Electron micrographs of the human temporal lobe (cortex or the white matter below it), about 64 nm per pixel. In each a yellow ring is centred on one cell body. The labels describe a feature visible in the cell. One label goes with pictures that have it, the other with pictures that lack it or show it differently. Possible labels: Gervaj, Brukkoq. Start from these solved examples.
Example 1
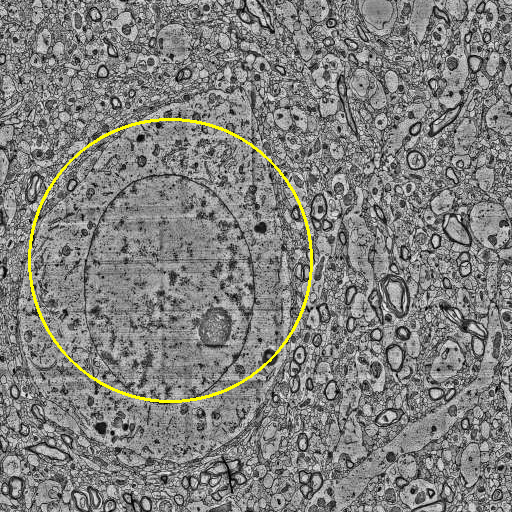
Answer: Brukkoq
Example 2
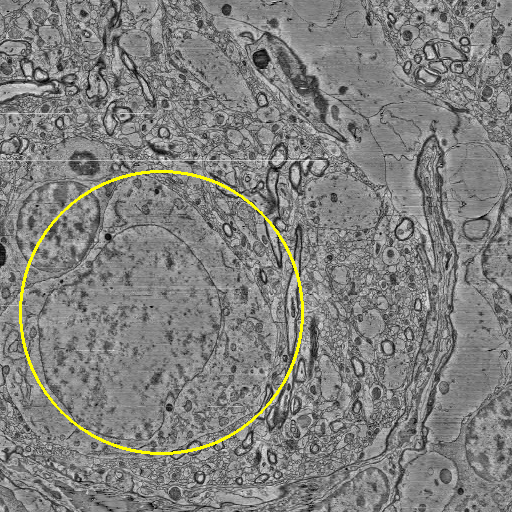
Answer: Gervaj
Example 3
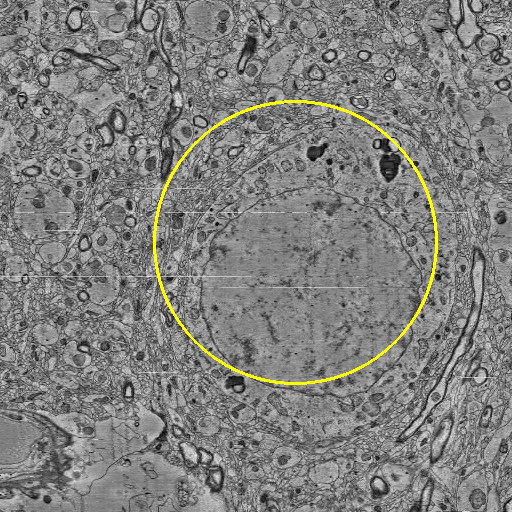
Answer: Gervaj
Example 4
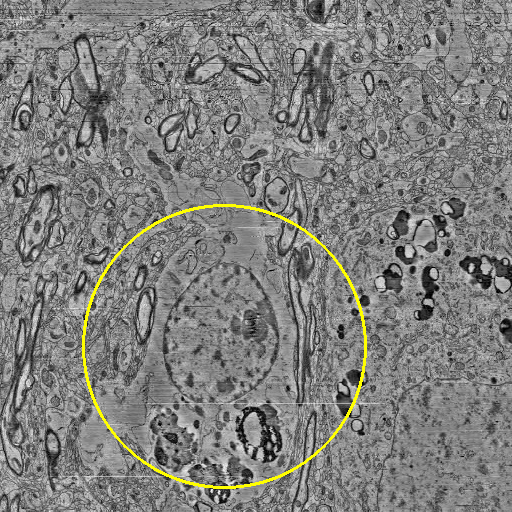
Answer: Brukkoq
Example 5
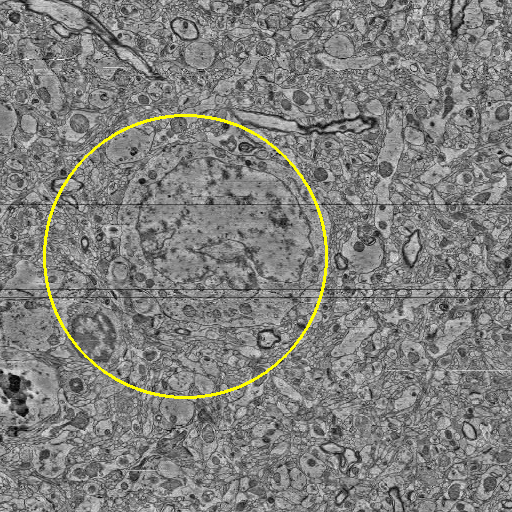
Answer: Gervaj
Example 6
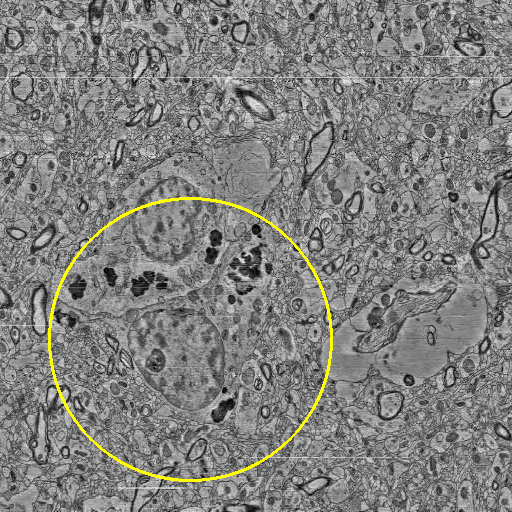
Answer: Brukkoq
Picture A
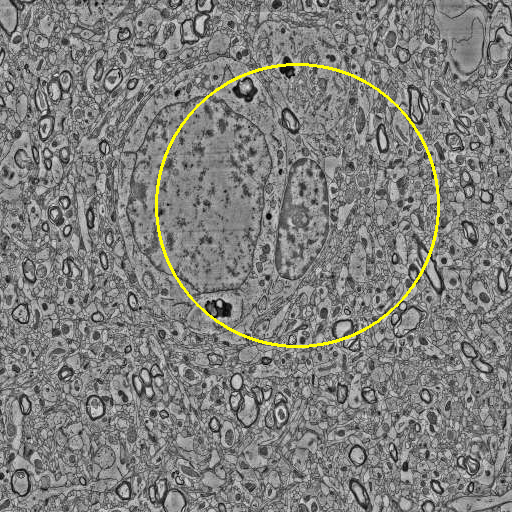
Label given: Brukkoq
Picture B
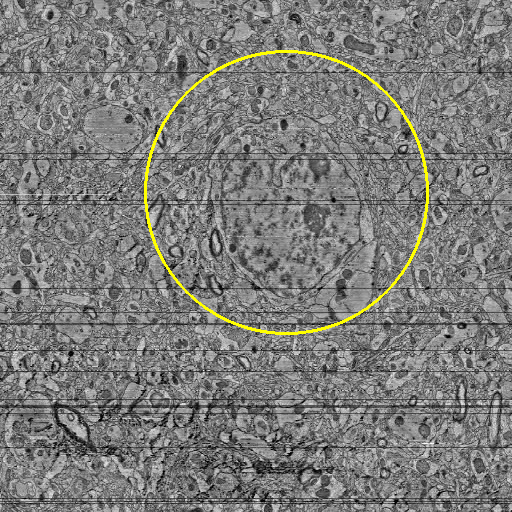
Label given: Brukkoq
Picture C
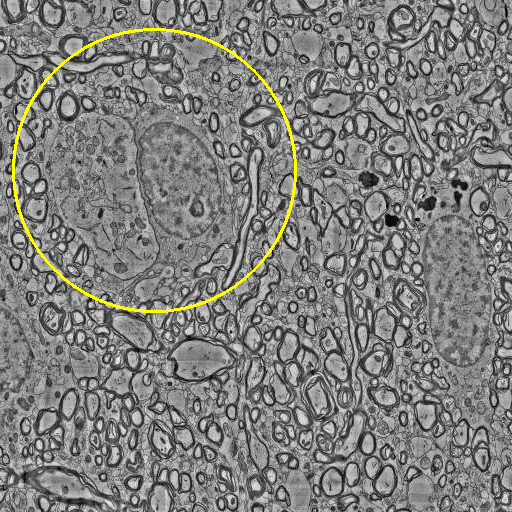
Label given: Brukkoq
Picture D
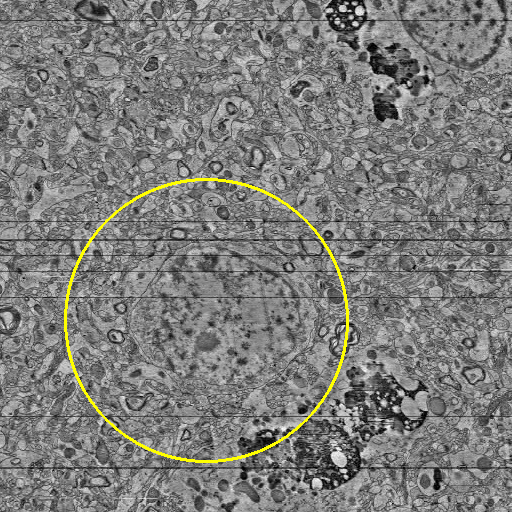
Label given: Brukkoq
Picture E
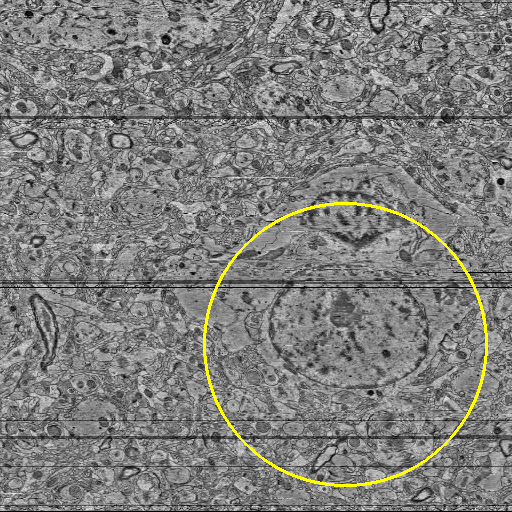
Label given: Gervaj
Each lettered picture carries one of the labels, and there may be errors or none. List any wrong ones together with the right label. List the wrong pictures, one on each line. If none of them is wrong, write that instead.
E: not Gervaj but Brukkoq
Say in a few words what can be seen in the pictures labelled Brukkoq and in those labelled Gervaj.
Seen in Brukkoq: nucleolus seen; seen in Gervaj: no nucleolus seen.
